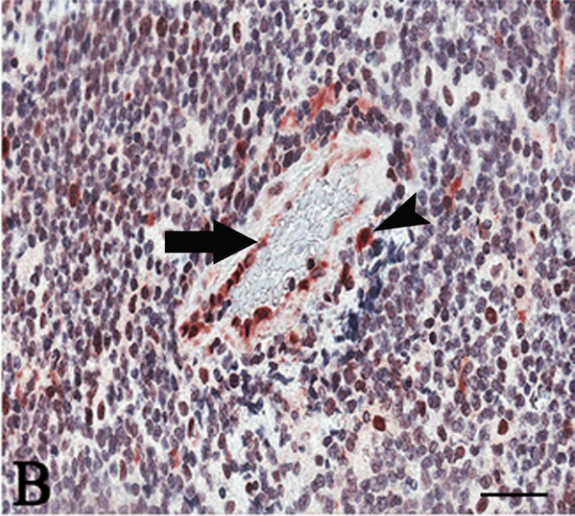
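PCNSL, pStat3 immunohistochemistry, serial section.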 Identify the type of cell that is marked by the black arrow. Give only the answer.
Endothelial cells.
